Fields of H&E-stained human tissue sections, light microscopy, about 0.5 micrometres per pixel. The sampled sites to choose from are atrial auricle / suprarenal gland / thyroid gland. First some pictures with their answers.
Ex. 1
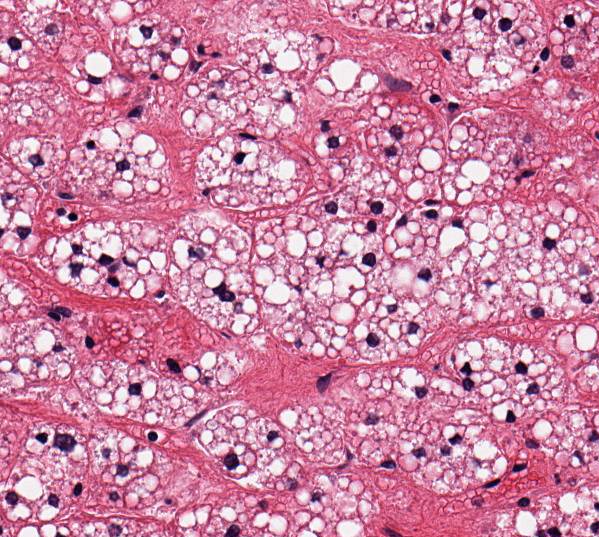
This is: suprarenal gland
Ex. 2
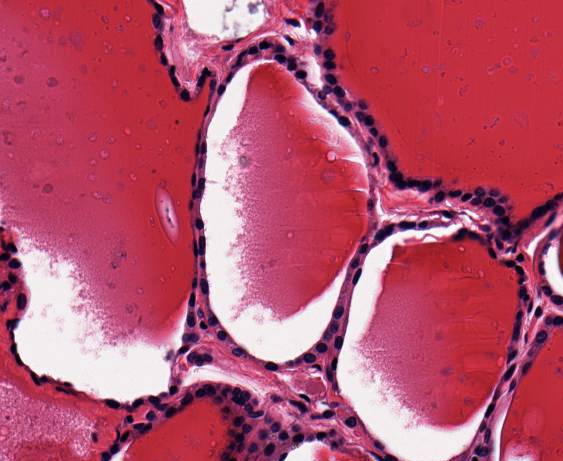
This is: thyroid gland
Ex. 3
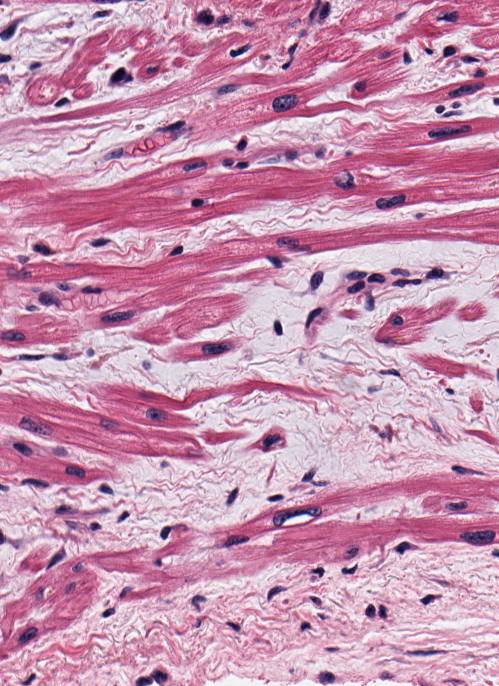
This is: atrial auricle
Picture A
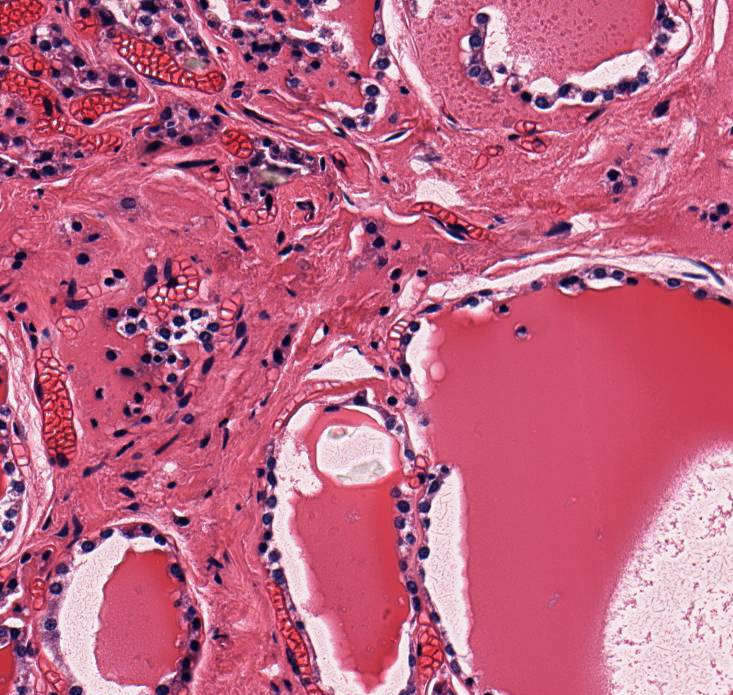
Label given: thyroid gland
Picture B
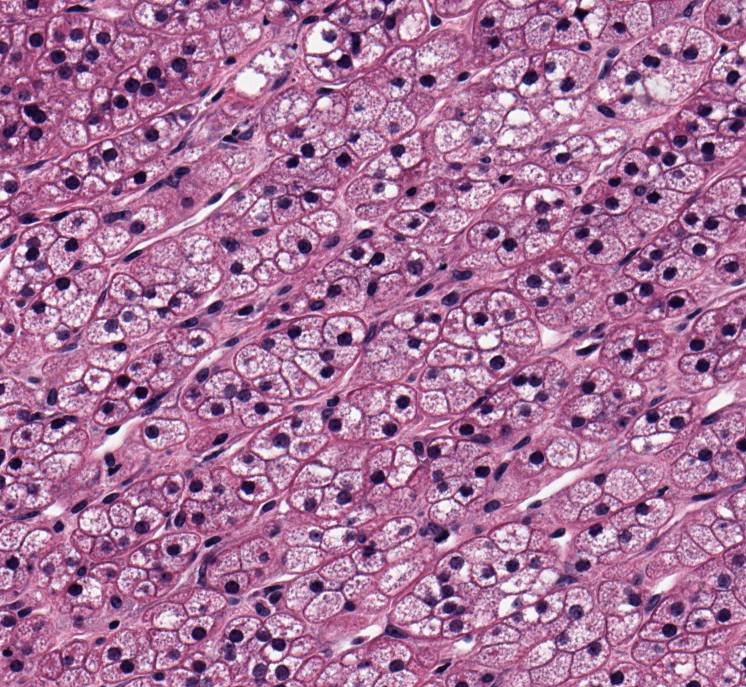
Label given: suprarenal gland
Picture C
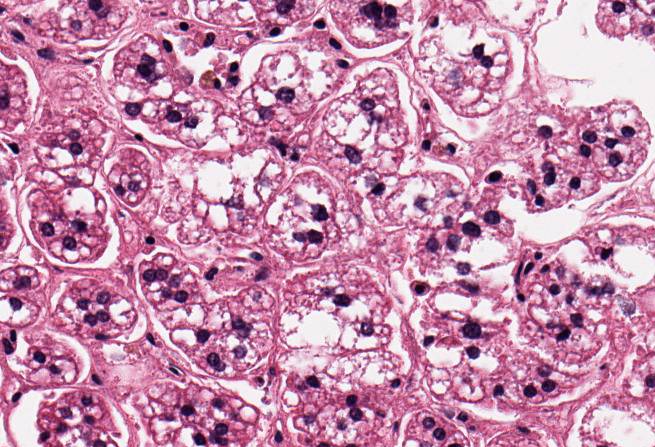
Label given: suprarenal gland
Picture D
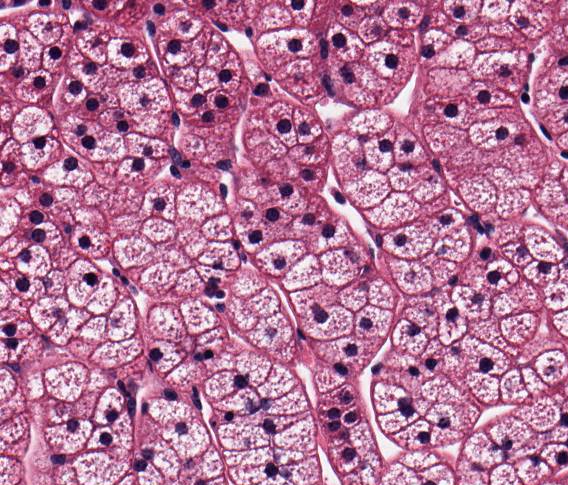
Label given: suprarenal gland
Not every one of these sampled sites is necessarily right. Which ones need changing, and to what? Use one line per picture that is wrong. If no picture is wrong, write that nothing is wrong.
All labels are correct.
